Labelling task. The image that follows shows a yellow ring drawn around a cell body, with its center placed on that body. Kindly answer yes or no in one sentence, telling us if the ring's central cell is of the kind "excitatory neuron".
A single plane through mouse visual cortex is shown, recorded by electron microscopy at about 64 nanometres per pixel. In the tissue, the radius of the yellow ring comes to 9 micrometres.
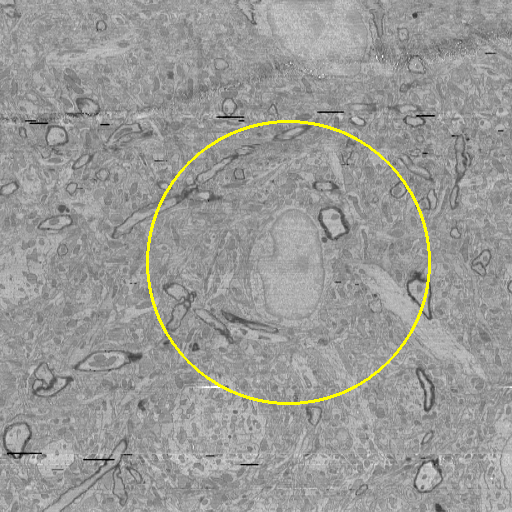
No, in this image the cell at the ring's center is of a different kind.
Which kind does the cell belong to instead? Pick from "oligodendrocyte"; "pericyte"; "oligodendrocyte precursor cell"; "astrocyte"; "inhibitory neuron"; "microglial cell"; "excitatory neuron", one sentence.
So the cell at the centre is an astrocyte.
